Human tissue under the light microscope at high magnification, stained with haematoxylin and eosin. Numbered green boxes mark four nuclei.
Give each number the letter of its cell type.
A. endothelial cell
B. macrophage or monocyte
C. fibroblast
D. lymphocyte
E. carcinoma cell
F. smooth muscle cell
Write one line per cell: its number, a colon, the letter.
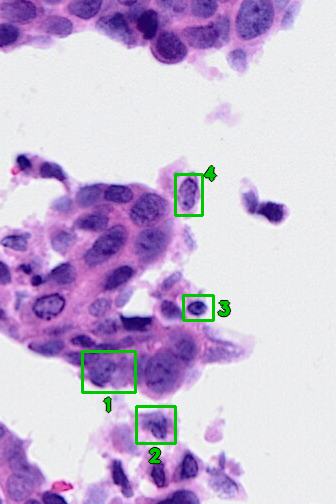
1: E
2: B
3: D
4: B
